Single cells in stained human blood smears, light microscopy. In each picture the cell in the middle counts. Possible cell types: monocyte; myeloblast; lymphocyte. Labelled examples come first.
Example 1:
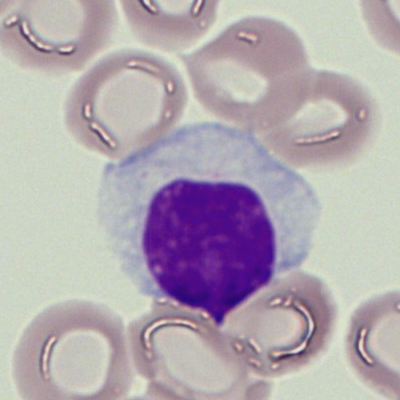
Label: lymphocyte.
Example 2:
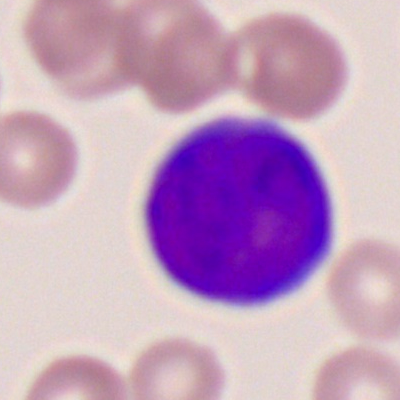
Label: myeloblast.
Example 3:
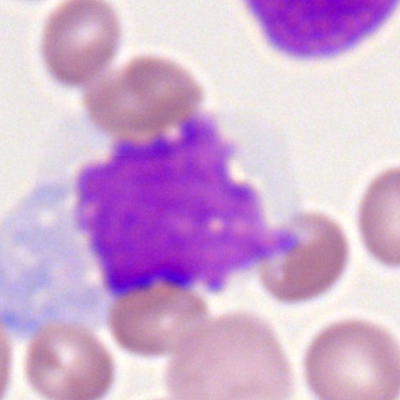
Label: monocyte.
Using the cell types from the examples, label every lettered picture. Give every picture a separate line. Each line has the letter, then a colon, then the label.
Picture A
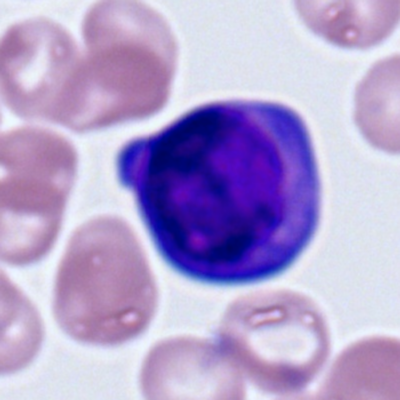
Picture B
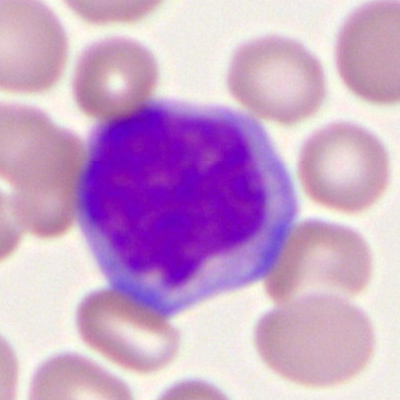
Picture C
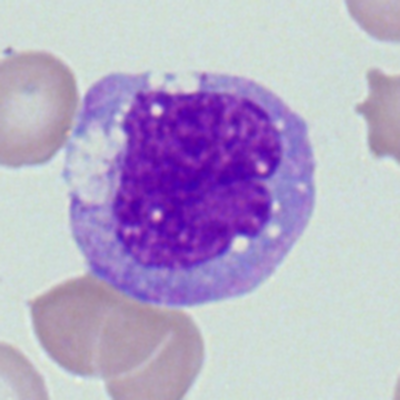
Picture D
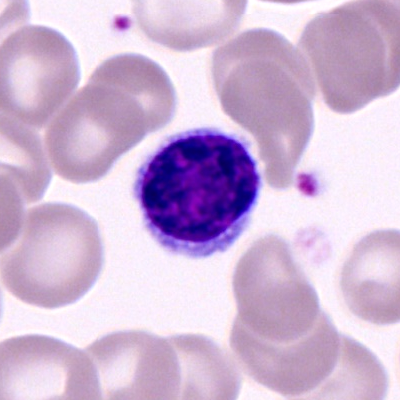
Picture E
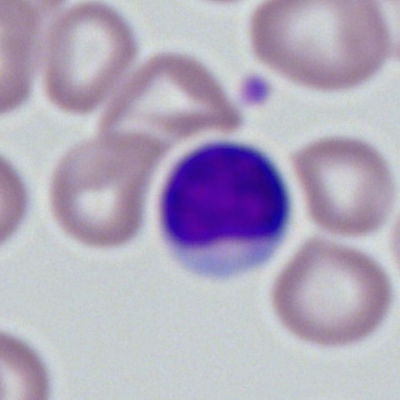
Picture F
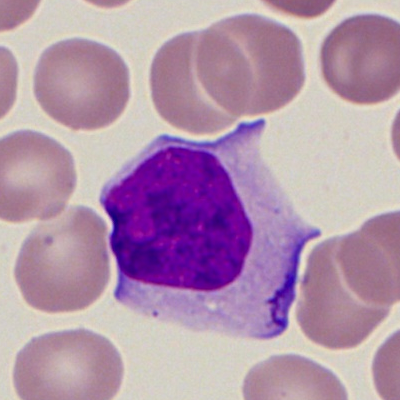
A: myeloblast.
B: myeloblast.
C: monocyte.
D: lymphocyte.
E: lymphocyte.
F: lymphocyte.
